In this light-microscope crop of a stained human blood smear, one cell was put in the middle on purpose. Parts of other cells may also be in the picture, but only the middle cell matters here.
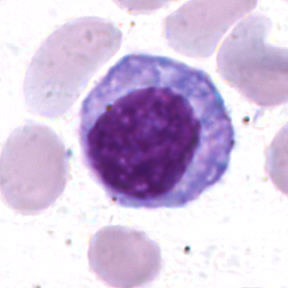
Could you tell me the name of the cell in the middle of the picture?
plasma cell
